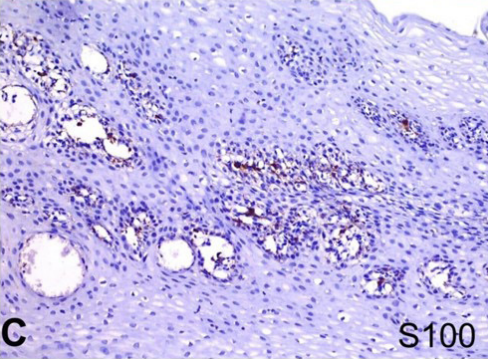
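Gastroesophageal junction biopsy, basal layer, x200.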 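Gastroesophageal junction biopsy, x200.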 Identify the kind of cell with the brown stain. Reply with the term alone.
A: intraepithelial melanocytes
